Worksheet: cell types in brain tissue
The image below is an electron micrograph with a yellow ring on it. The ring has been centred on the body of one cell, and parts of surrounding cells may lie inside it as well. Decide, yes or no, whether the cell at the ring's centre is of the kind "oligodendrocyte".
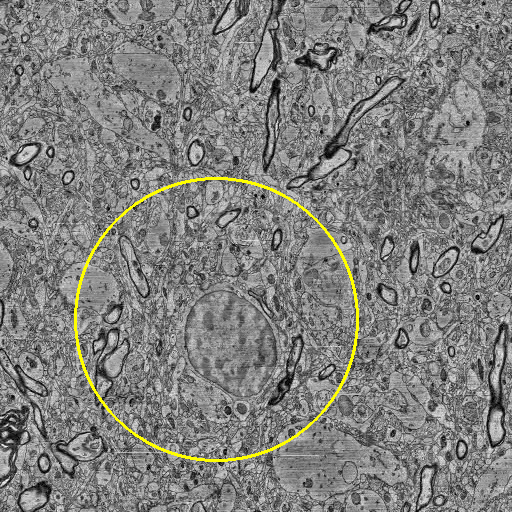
yes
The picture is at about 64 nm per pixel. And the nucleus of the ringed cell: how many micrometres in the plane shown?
In this plane the nucleus measures roughly 7 by 6 micrometres.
